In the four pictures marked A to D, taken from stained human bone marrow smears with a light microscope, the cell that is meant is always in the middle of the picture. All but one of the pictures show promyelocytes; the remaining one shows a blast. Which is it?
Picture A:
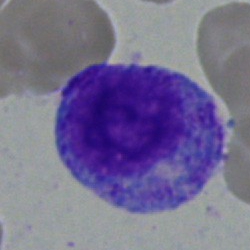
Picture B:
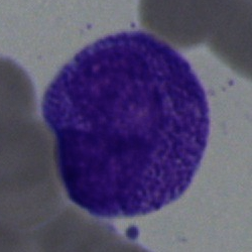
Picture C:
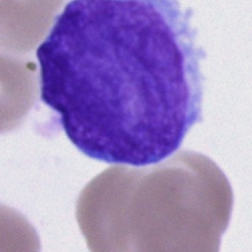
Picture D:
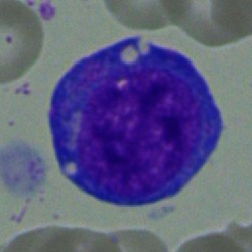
C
